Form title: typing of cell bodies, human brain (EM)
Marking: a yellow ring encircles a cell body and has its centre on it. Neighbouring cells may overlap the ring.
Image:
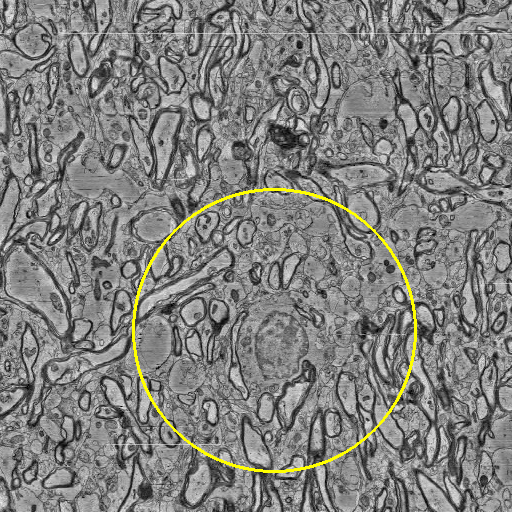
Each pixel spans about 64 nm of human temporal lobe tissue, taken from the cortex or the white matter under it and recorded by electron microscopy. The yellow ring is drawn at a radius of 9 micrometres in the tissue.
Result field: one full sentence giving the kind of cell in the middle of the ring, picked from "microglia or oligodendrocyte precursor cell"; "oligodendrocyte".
In the picture, the ring is centred on an oligodendrocyte, whose cell body it encircles.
